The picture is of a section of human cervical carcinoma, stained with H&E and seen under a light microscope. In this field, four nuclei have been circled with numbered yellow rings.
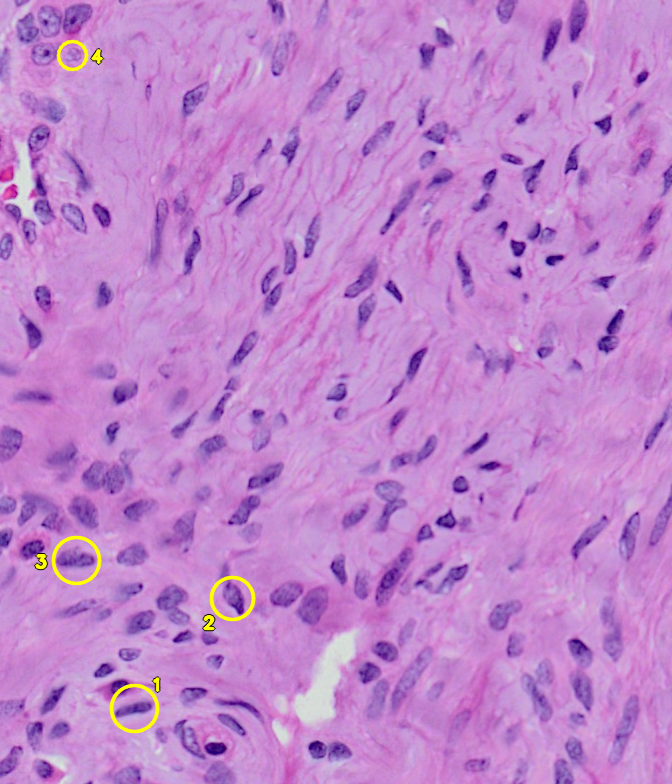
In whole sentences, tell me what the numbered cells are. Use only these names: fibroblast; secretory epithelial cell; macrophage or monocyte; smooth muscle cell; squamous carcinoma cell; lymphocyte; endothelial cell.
Cell 1 is a fibroblast, cell 2 is a fibroblast, cell 3 is a fibroblast and cell 4 is an endothelial cell.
